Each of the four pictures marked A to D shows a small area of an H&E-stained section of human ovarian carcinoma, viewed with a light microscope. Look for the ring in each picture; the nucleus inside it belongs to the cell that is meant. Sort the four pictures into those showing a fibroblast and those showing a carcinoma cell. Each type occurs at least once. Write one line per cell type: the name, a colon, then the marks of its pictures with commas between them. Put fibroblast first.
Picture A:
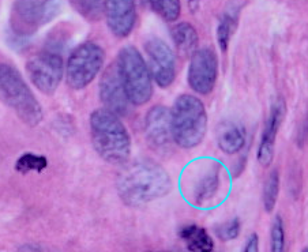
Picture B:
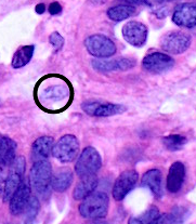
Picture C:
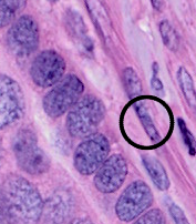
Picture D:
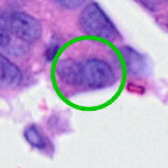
fibroblast: A, B, C
carcinoma cell: D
